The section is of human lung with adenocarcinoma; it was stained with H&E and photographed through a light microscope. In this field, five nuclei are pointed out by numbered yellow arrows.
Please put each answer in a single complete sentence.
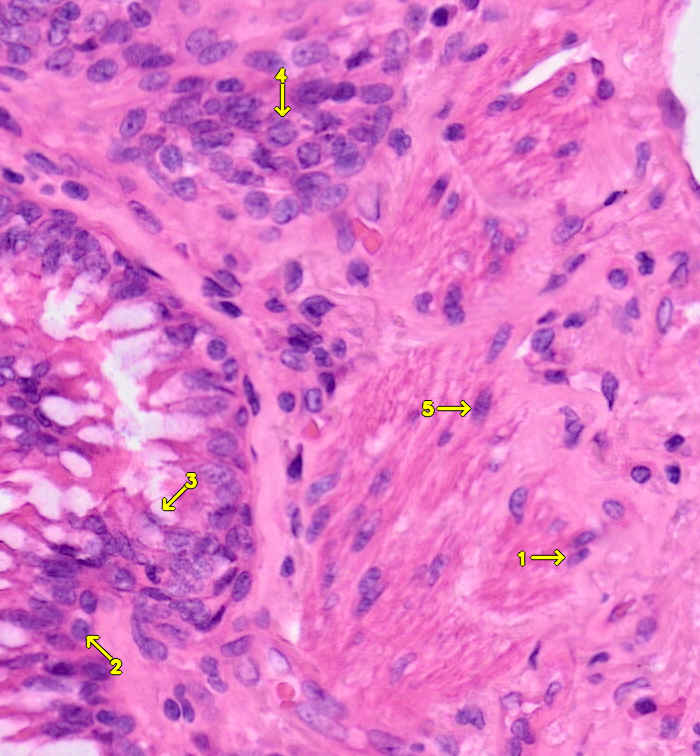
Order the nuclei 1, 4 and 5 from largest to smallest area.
From largest to smallest, the order is 4, 5, 1.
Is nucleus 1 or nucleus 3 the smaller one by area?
Number 1 is smaller, since number 3 takes up about 2.5 times as much area.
